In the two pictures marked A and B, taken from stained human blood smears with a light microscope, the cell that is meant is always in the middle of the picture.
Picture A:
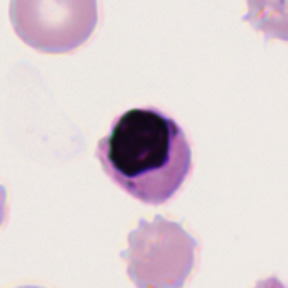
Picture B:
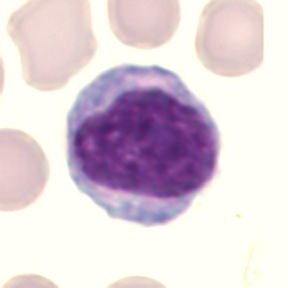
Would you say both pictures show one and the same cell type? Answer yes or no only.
no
